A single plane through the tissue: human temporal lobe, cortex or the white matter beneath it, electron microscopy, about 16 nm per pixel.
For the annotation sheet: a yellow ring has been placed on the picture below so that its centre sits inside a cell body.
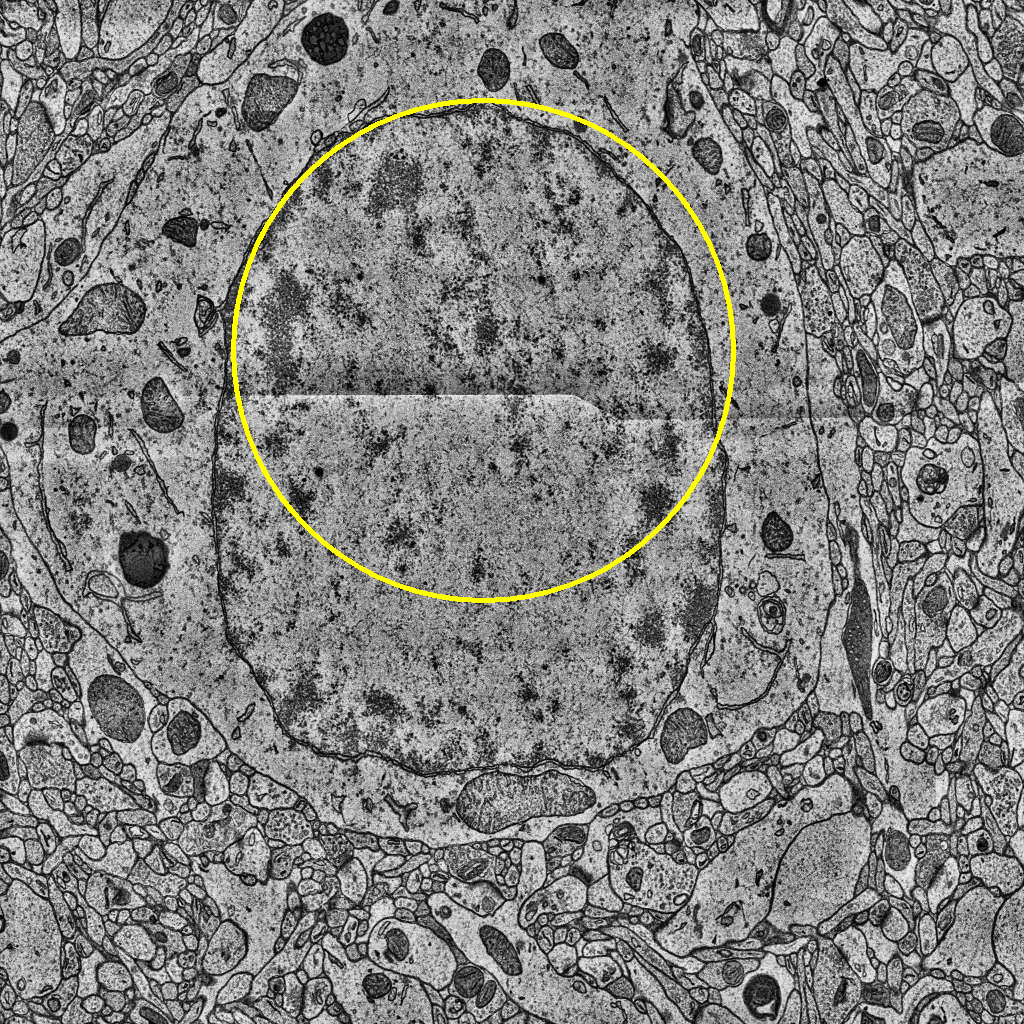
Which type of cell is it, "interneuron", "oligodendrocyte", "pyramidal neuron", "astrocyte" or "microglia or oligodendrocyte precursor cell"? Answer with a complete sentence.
The cell at the ring's centre is a pyramidal neuron.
